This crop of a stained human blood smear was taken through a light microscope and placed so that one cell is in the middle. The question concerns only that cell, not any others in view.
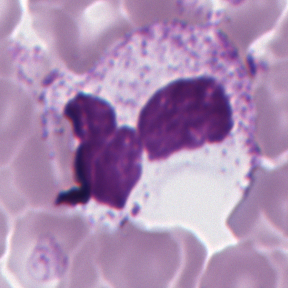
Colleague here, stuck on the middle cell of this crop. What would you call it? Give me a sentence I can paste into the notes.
The cell around which this crop is centred is a segmented neutrophil.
